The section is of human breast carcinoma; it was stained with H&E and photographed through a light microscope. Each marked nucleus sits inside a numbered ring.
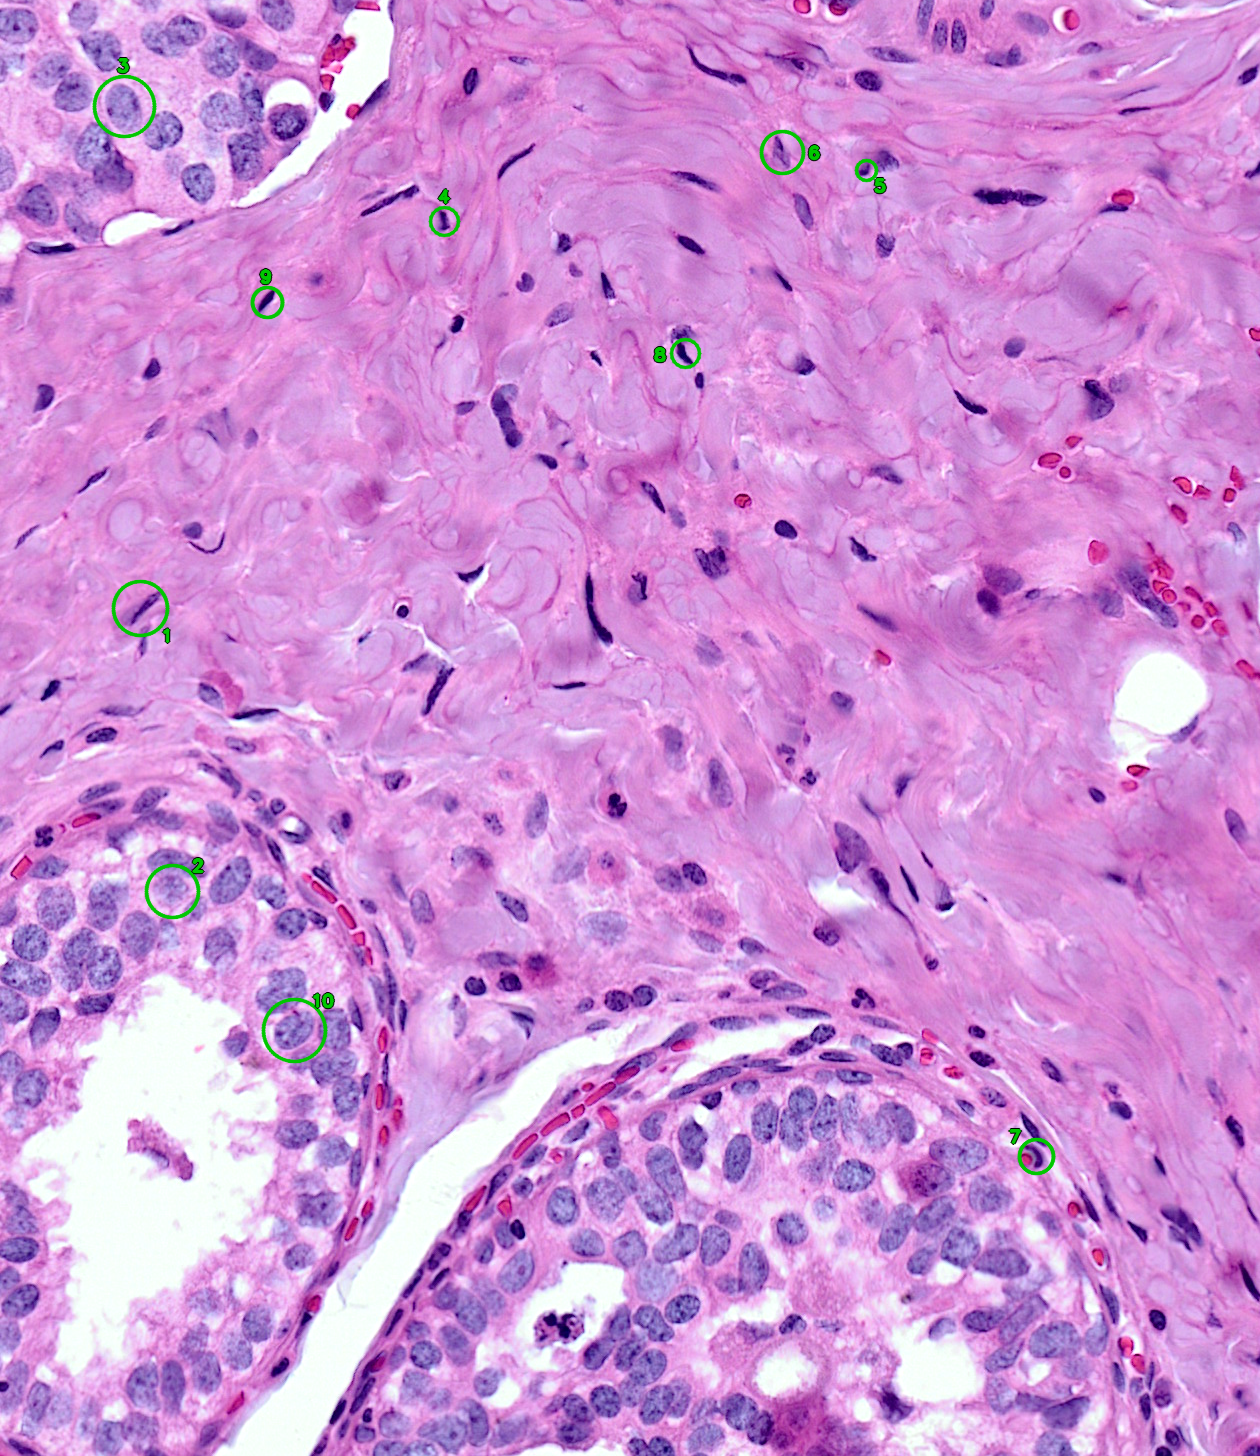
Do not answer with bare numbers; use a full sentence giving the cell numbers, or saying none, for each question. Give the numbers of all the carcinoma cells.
The cells referred to by the numbers 2, 3 and 10 are carcinoma cells.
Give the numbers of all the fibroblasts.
When it comes to cells 1, 4, 5, 6, 8 and 9, they are fibroblasts.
